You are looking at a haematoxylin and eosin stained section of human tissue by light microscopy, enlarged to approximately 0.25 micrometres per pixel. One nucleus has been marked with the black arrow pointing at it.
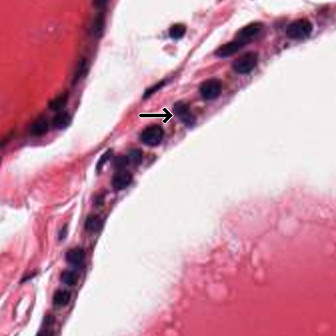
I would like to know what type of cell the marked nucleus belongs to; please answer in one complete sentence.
As shown, the marked nucleus belongs to a thyroid follicular cell.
